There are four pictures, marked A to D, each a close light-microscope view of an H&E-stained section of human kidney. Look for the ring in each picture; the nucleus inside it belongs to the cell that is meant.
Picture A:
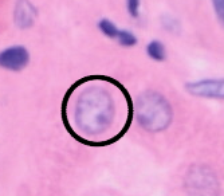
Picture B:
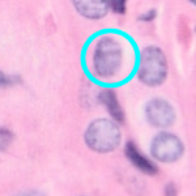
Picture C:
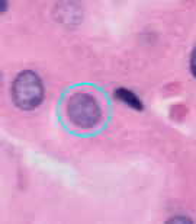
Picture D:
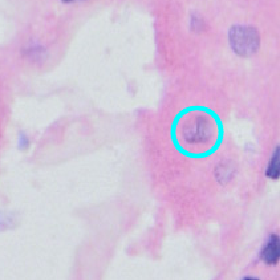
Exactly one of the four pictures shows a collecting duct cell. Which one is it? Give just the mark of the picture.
B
